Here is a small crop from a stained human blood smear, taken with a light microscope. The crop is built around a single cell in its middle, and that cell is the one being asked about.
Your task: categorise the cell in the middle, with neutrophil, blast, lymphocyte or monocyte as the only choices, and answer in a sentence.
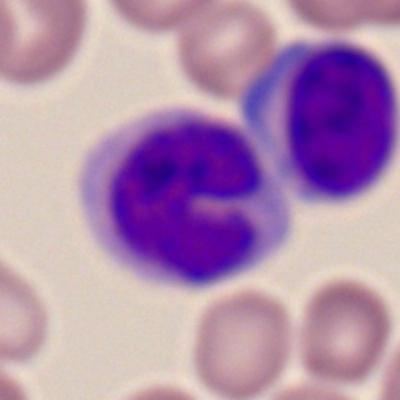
Classified as a monocyte is the cell in the middle of this crop.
